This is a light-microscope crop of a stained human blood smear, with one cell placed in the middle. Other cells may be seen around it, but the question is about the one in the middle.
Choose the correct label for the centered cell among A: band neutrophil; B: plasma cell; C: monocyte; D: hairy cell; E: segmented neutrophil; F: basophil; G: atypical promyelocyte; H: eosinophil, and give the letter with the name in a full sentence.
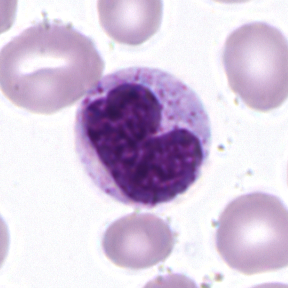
What option A states is correct, the central cell being a band neutrophil.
